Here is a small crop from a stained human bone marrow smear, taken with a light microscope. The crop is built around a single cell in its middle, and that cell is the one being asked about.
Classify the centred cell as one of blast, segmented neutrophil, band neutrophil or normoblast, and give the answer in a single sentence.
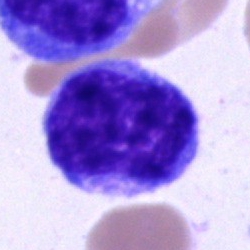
Positioned in the middle of the crop is a blast.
